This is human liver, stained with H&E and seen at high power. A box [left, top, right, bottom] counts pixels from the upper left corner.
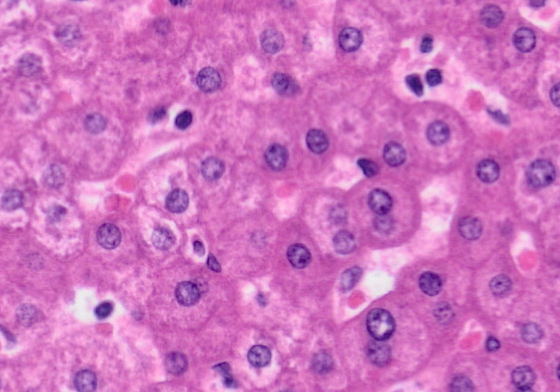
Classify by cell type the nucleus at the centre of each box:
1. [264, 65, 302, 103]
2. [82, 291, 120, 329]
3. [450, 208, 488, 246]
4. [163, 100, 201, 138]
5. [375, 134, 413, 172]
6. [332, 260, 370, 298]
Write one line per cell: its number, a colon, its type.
1: endothelial cell
2: lymphocyte
3: hepatocyte
4: lymphocyte
5: hepatocyte
6: Kupffer cell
